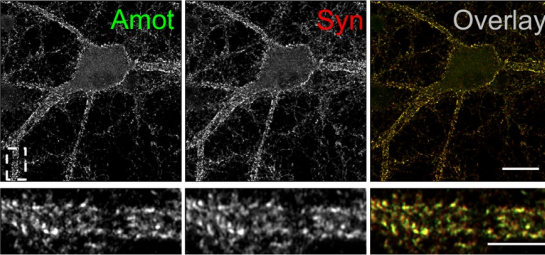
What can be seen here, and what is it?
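This image shows a cultured neuron with a central cell body from which several long processes radiate. The processes branch and taper as they extend away from the soma across the dish. Green and red labeling both appear as fine puncta lined along the processes, and where they overlap the dots look yellow. The cell body itself is only faintly labeled compared with the bright puncta on the processes. The enlarged strip below shows a segment of a process studded with closely packed, partly overlapping green and red dots.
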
